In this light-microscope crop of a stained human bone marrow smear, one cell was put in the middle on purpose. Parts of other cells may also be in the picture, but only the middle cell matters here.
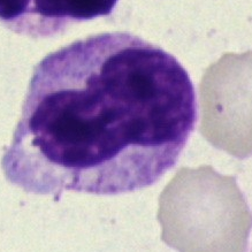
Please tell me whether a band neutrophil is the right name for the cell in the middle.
yes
